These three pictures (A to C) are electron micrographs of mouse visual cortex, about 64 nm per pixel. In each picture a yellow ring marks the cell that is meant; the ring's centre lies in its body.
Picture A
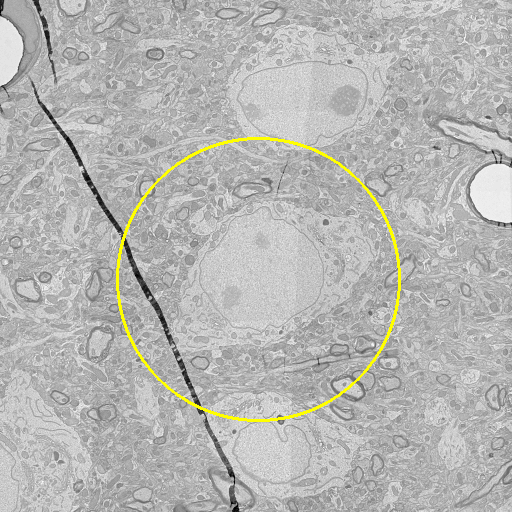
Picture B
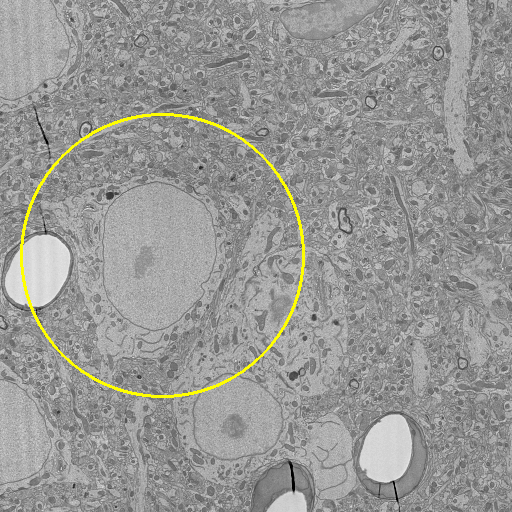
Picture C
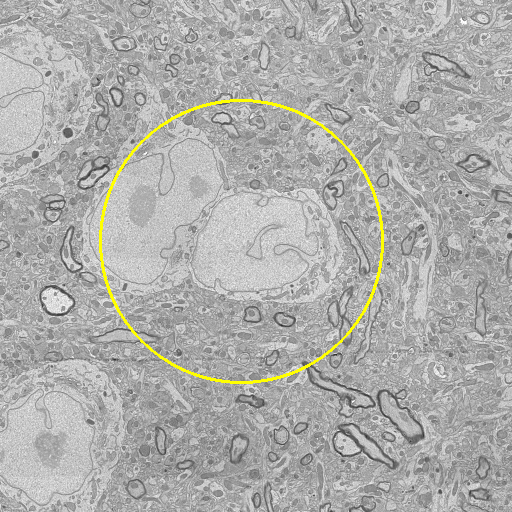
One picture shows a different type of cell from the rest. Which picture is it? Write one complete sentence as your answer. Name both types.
Picture C differs, because its cell is an inhibitory neuron and the rest are excitatory neurons.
